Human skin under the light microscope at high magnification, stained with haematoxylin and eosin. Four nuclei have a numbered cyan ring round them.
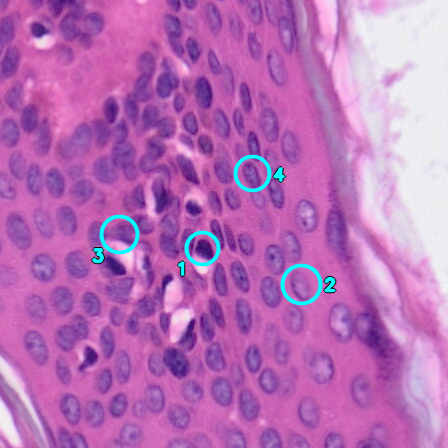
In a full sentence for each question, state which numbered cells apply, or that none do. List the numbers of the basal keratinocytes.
The numbers 1 and 3 in this section indicate basal keratinocytes.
